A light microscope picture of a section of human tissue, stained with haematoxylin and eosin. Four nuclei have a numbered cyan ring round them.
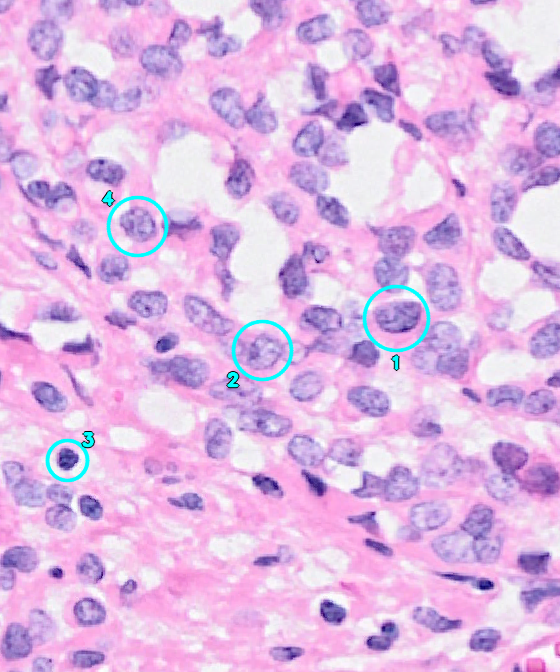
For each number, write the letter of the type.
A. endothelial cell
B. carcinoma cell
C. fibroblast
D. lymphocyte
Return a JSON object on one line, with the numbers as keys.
{"1": "B", "2": "B", "3": "D", "4": "B"}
